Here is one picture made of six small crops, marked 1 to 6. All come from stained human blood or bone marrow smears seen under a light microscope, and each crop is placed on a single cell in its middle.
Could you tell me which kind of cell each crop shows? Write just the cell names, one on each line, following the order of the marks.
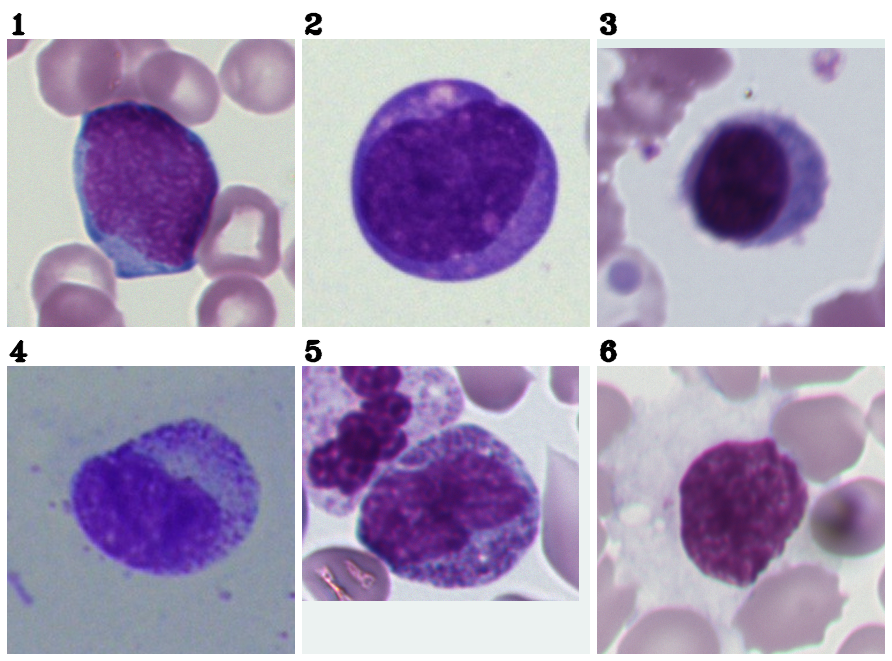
blast
blast
hairy cell
myelocyte
myelocyte
hairy cell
